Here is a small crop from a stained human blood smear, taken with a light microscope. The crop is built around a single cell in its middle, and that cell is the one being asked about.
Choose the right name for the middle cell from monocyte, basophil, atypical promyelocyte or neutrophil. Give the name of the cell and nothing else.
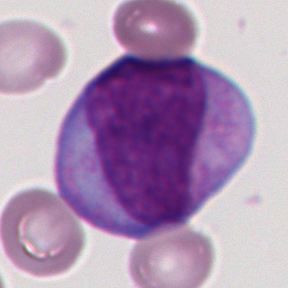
atypical promyelocyte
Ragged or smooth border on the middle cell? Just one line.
Happy to help: the outline is smooth and shows no projections.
